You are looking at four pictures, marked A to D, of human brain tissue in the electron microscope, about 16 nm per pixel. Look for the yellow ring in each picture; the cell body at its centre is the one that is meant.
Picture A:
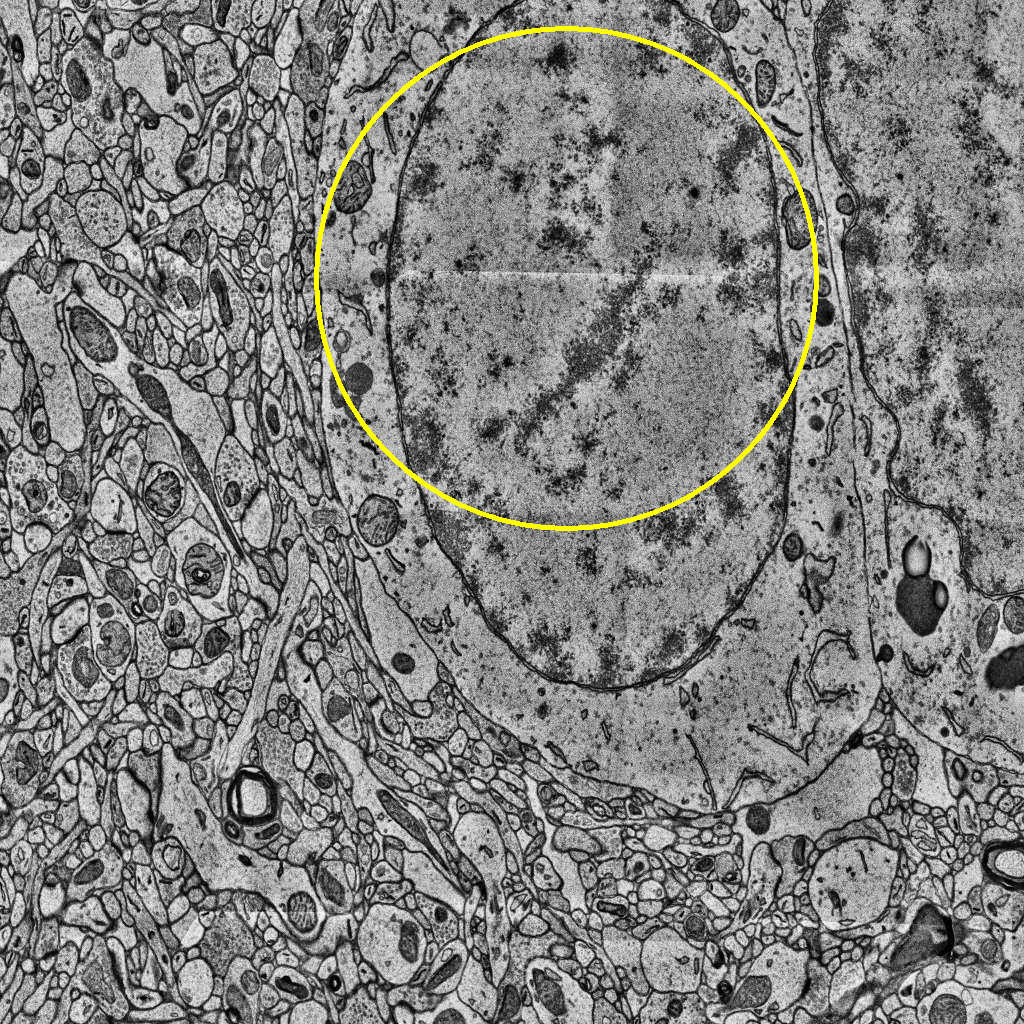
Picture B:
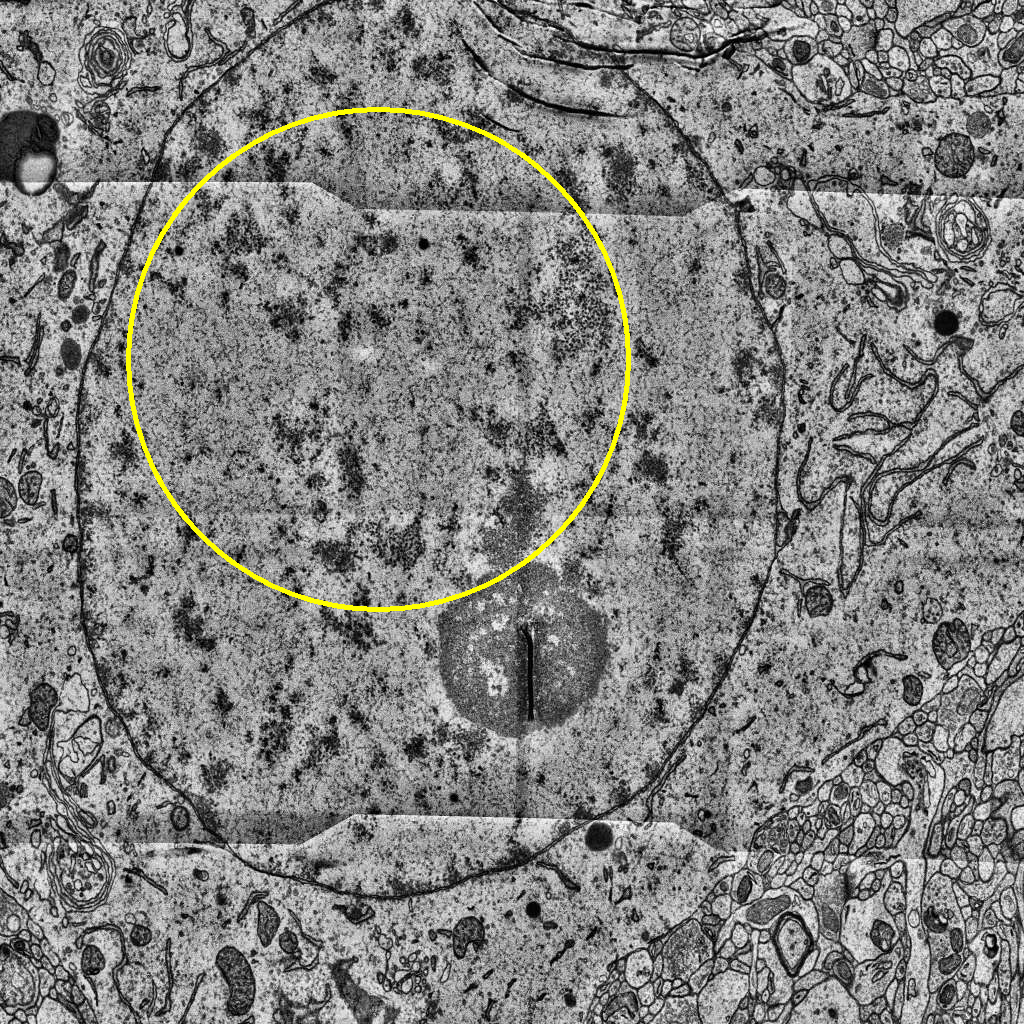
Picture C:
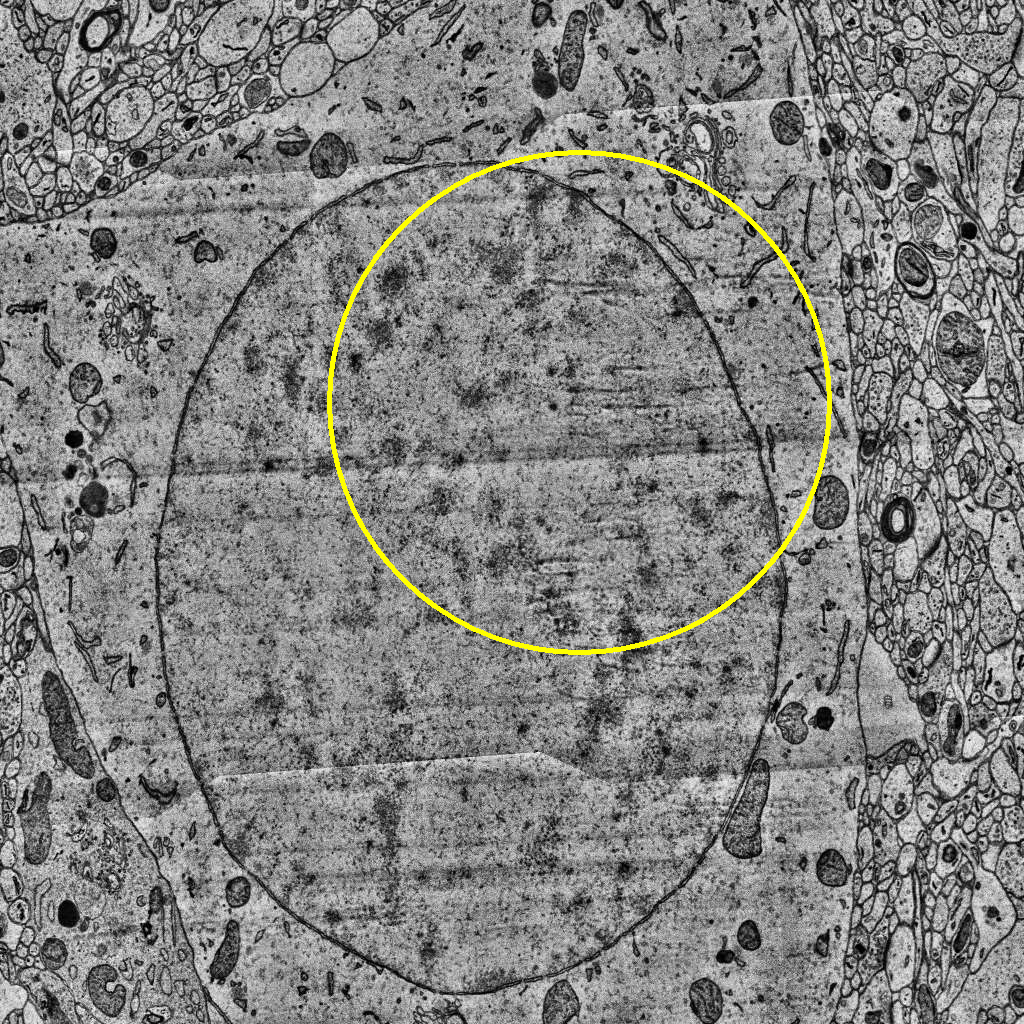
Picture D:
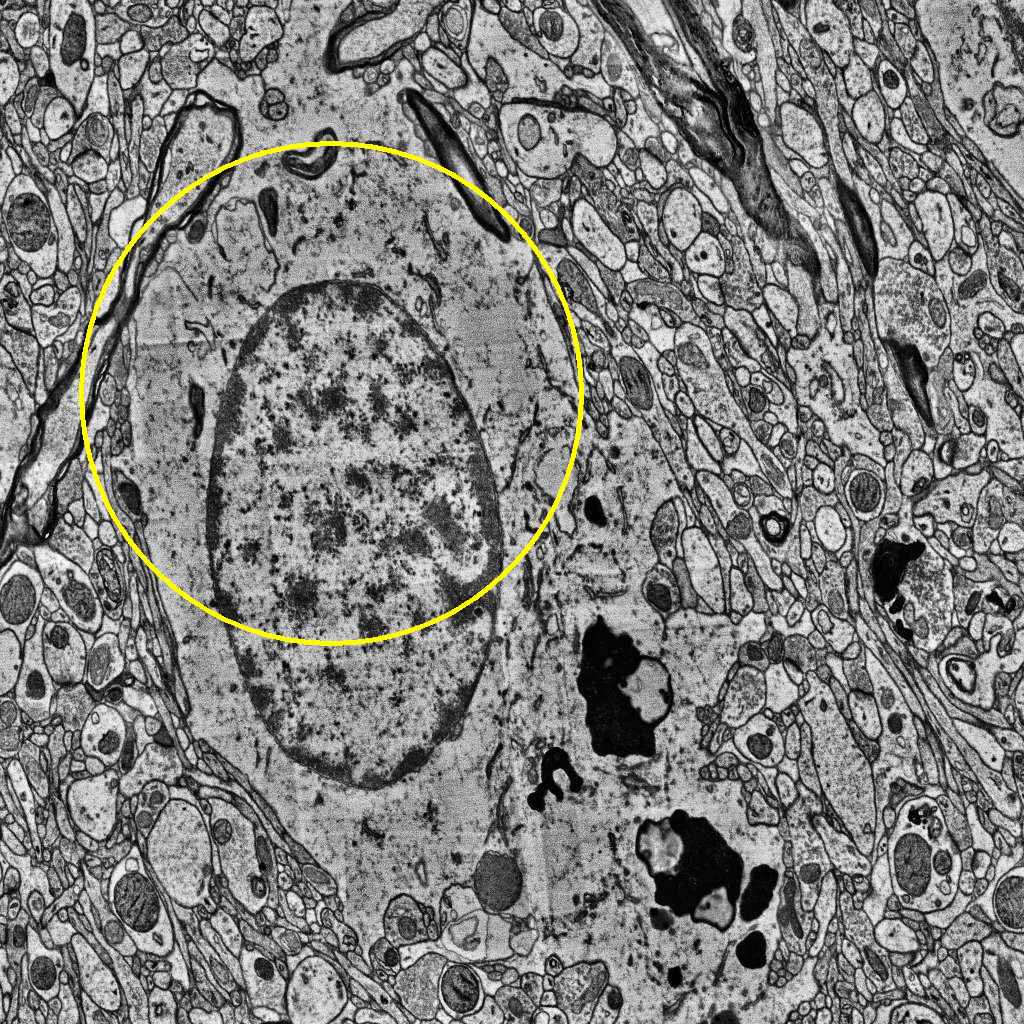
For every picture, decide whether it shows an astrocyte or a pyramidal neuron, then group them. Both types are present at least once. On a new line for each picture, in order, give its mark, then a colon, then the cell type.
A: pyramidal neuron
B: pyramidal neuron
C: pyramidal neuron
D: astrocyte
